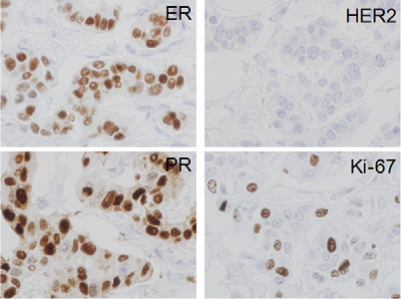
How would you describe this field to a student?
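These are breast cancer cells, arranged in small nests and glands within pale stroma and shown at high power with a blue counterstain. In two fields, most tumour nuclei are strongly and crisply stained dark brown, while the cytoplasm stays pale. One field shows only blue nuclei and clear cytoplasm, with no brown outlining of the cell membranes. In the last field, brown nuclei are scattered singly among many unstained ones. The nuclei are round to oval with visible chromatin, and the stroma between the nests holds sparse, elongated cells.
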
